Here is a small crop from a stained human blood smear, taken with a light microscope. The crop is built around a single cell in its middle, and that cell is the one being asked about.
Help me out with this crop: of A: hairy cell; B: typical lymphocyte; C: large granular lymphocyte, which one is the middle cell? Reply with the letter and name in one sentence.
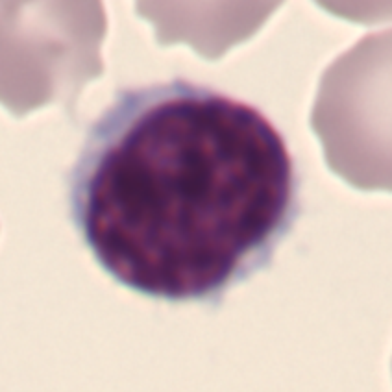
Option A is correct, and the cell in the centre is a hairy cell.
